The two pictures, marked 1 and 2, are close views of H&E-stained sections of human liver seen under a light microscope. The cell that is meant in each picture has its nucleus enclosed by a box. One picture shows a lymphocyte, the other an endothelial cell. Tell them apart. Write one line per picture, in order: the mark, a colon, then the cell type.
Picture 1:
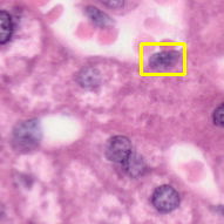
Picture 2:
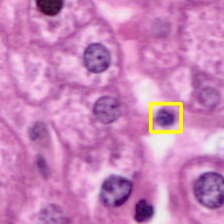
1: endothelial cell
2: lymphocyte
